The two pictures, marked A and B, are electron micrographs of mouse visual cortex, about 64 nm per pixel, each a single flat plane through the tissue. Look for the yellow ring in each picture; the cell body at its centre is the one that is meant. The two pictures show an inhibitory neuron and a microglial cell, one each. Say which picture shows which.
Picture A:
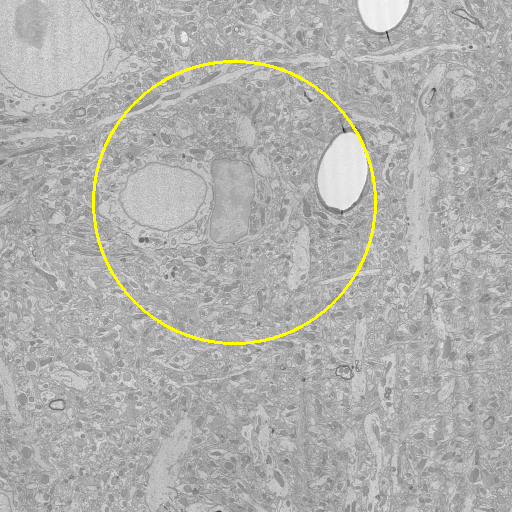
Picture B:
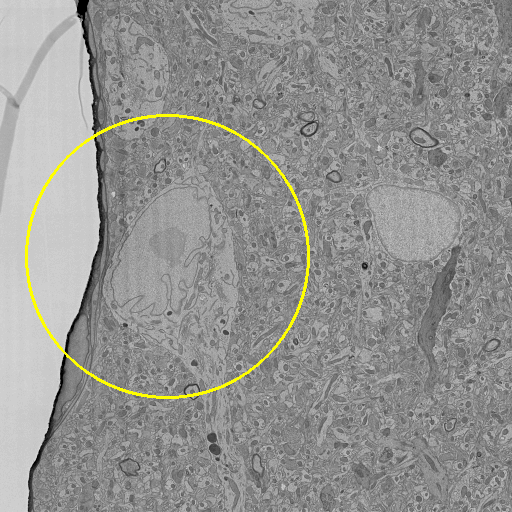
It is picture A that shows a microglial cell, and picture B that shows an inhibitory neuron.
